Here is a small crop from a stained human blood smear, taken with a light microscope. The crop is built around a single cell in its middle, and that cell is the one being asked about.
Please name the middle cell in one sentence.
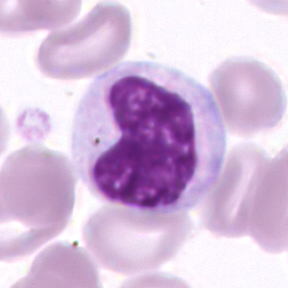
The cell at the central position in this crop is a metamyelocyte.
